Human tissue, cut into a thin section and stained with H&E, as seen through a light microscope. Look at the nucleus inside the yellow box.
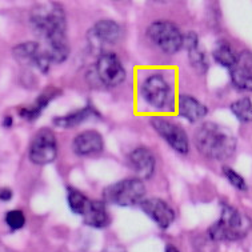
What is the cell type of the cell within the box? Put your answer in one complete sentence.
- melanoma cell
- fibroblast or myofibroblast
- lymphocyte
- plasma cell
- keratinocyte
Histopathologically, the cell within the box is a melanoma cell.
